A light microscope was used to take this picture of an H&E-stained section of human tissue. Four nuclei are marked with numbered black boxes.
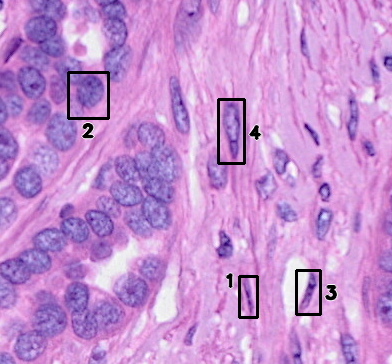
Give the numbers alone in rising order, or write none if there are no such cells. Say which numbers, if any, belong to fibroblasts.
1, 3, 4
